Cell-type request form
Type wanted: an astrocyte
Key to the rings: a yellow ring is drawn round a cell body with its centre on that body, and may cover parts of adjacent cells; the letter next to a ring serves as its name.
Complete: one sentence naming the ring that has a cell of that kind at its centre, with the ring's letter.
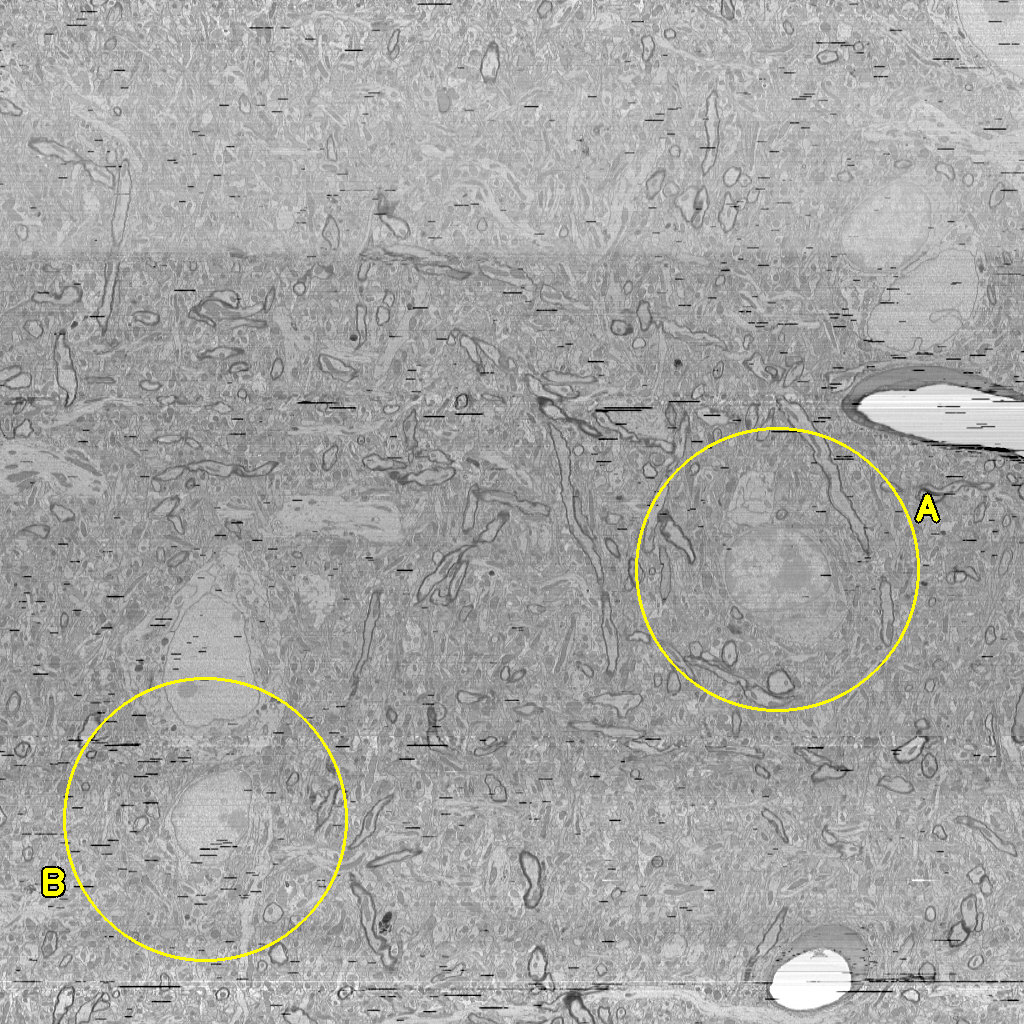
A cell of that kind sits at the centre of the ring labelled B.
